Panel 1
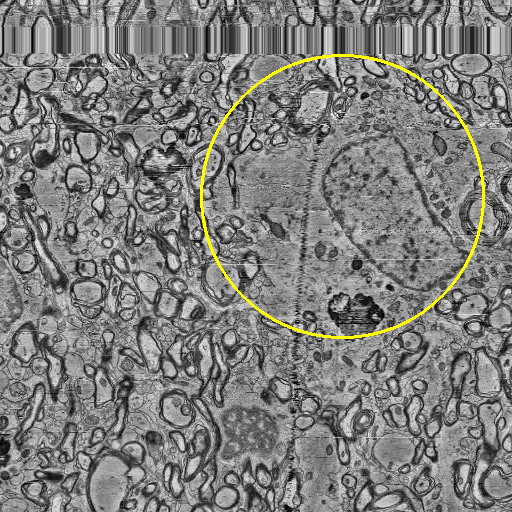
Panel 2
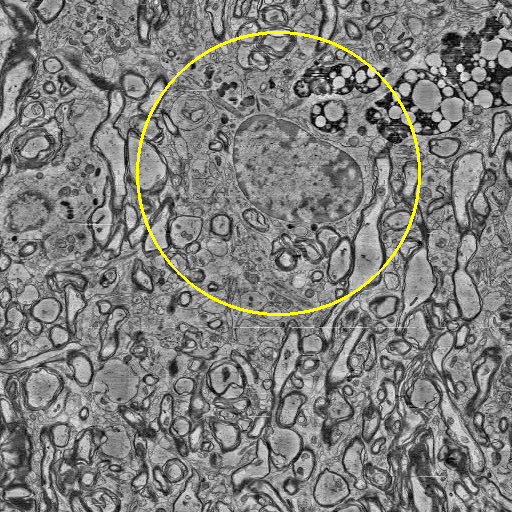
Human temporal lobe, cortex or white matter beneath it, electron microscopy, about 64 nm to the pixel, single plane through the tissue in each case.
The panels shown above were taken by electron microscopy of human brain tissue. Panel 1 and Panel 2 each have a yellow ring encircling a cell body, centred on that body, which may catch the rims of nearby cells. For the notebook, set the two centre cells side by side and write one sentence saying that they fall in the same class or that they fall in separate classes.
The centred cells of Panel 1 and Panel 2 fall in separate classes.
